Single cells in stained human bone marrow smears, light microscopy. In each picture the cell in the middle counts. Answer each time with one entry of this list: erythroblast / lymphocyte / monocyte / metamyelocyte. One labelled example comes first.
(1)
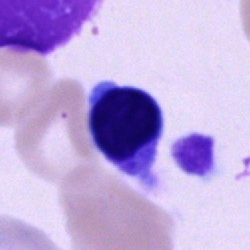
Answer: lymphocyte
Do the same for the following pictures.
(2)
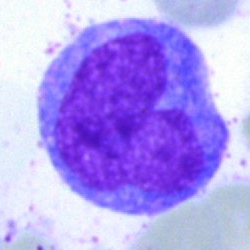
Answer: monocyte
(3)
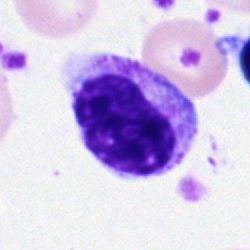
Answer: metamyelocyte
